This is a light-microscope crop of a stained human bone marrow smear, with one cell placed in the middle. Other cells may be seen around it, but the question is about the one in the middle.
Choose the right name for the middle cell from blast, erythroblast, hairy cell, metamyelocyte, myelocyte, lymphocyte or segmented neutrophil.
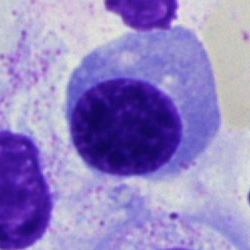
erythroblast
